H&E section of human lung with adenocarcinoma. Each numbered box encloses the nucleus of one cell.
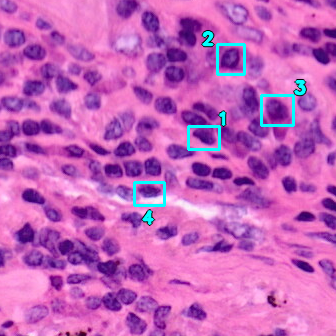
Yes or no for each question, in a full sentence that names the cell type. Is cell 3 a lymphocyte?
No, cell 3 should be classed as a plasma cell, not as a lymphocyte.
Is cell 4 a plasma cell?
No, the cell at marker 4 is not a plasma cell; it is a lymphocyte.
